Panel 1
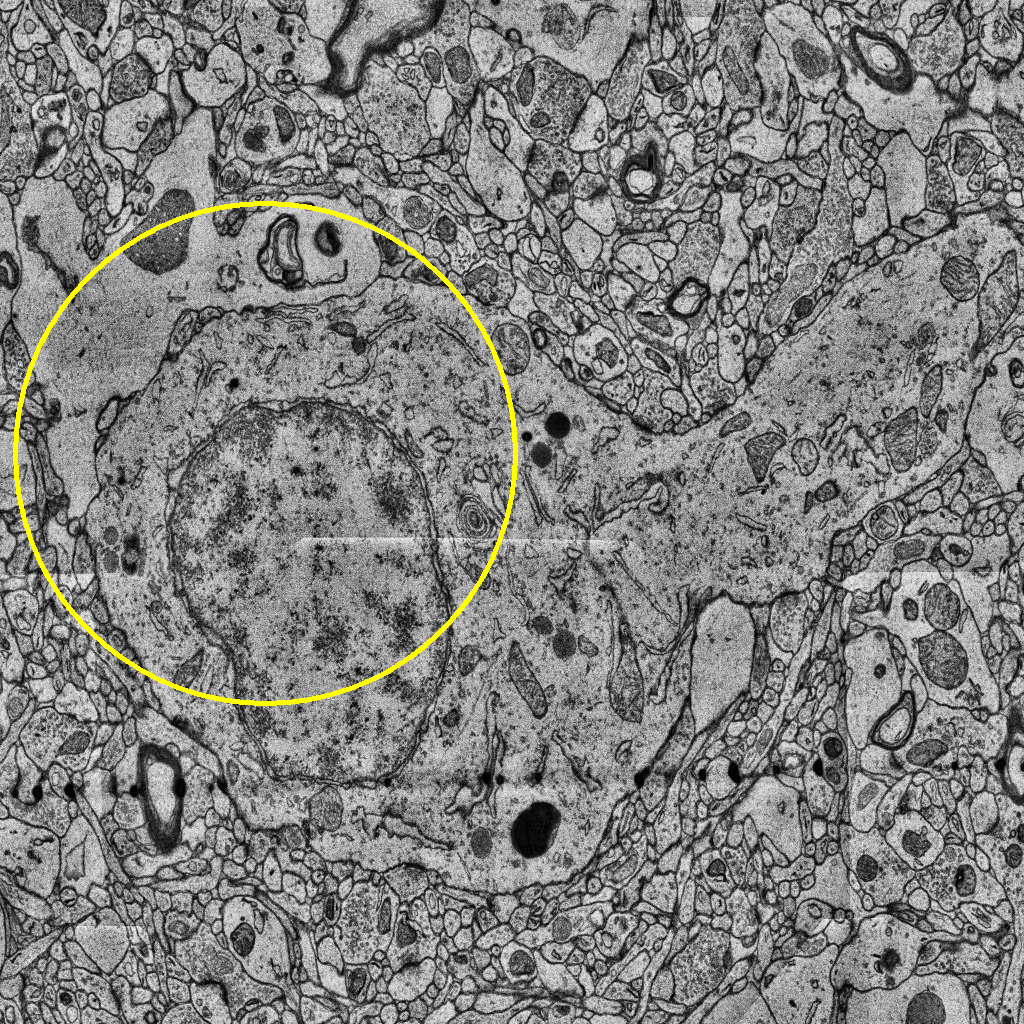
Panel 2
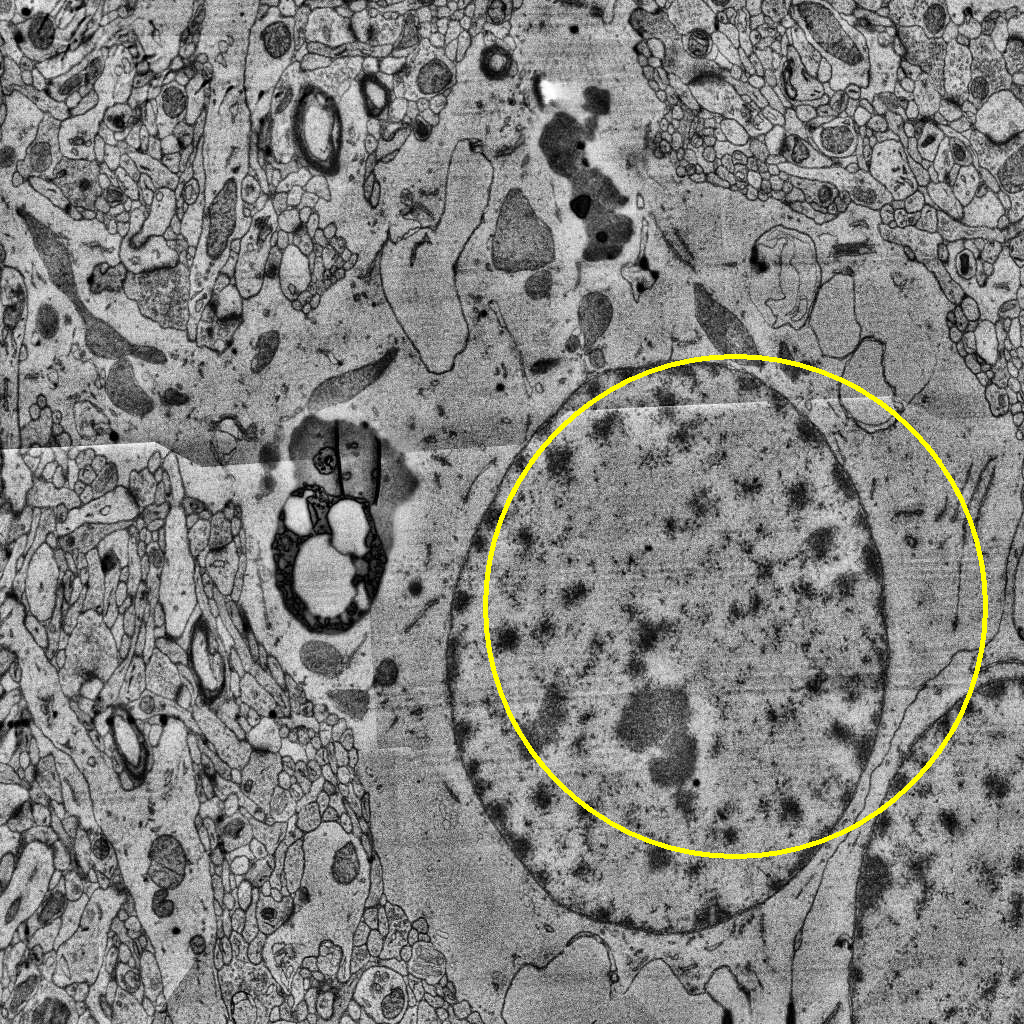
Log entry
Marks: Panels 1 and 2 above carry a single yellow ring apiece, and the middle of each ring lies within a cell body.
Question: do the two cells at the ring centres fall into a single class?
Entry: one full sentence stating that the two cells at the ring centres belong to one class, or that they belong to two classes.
The two cells at the ring centres in Panels 1 and 2 belong to two classes.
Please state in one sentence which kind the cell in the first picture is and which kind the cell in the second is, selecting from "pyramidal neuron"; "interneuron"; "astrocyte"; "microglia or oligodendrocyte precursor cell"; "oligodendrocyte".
At the centre of the first ring sits an interneuron, and at the centre of the second sits an astrocyte.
